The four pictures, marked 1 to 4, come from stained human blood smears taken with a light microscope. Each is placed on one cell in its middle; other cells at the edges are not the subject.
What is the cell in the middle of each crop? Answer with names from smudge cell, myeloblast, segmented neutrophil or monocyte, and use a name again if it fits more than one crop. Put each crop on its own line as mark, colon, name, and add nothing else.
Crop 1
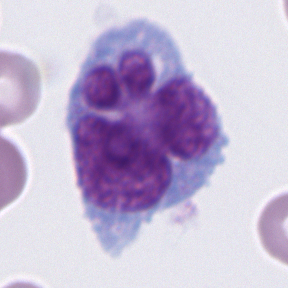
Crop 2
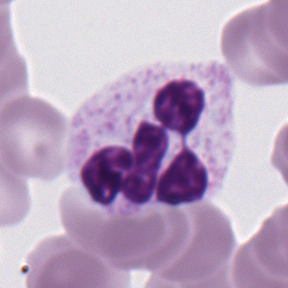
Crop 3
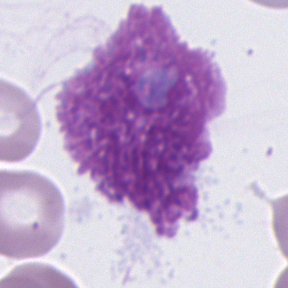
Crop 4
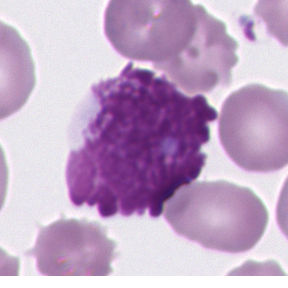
1: monocyte
2: segmented neutrophil
3: smudge cell
4: smudge cell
